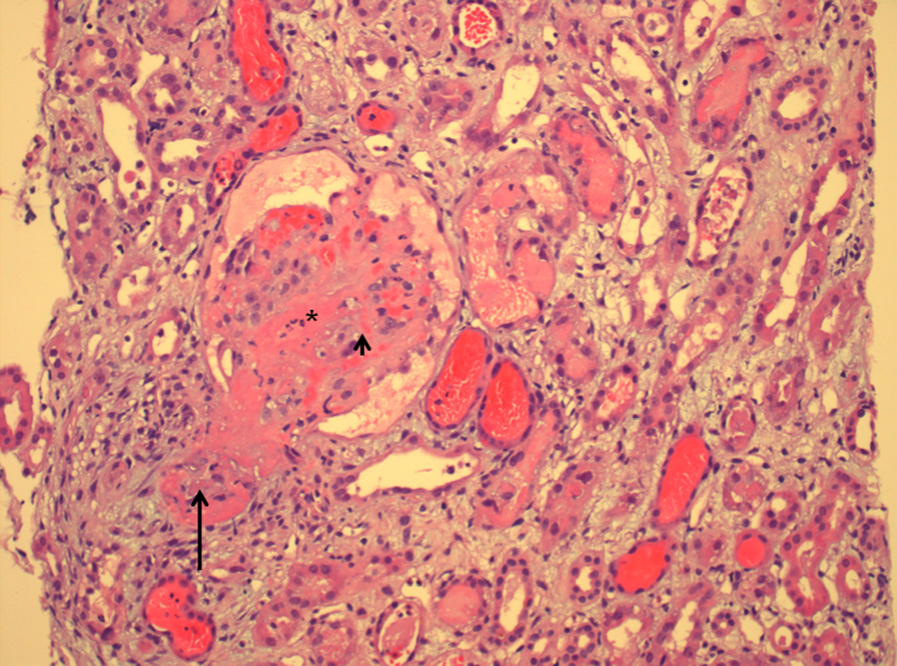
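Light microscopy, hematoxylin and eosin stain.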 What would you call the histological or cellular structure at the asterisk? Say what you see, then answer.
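The asterisk sits on smudgy, bright pink amorphous material inside the glomerular tuft. The material has no cell outlines and replaces the normal capillary loops.
Conclusion: fibrin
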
